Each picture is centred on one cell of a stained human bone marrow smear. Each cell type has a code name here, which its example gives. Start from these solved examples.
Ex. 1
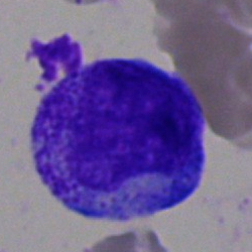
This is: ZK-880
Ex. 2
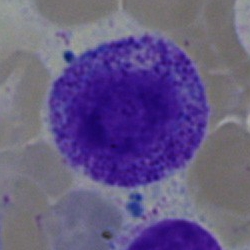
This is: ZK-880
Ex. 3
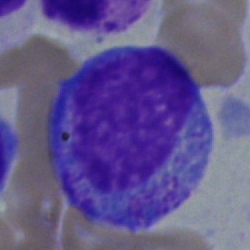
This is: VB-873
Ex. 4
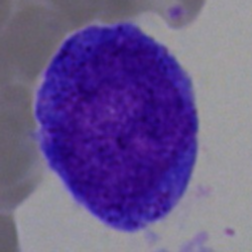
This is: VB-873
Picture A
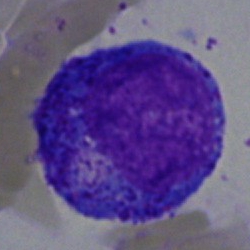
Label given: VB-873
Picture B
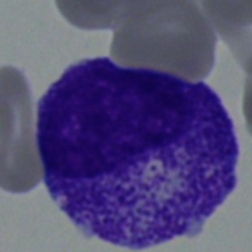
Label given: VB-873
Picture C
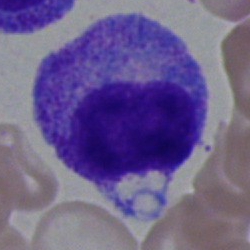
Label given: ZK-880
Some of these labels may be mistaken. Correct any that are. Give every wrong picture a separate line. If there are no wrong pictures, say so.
B: not VB-873 but ZK-880
C: not ZK-880 but VB-873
